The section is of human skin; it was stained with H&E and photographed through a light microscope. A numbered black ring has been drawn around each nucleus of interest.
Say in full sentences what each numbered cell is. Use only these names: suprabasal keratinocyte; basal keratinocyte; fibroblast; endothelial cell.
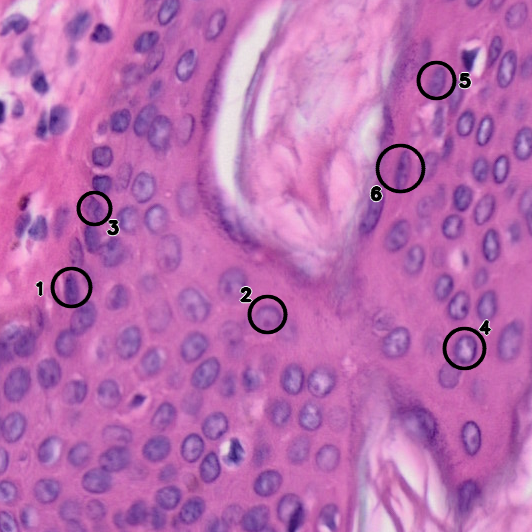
Cell 1 is a basal keratinocyte, cell 2 is a suprabasal keratinocyte, cell 3 is a basal keratinocyte, cell 4 is a suprabasal keratinocyte, cell 5 is a suprabasal keratinocyte and cell 6 is a suprabasal keratinocyte.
